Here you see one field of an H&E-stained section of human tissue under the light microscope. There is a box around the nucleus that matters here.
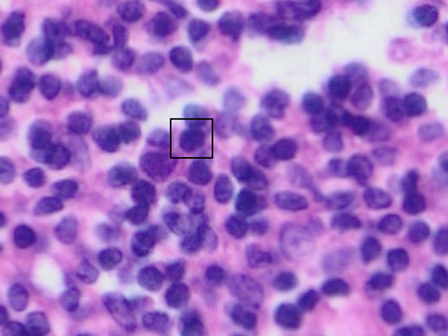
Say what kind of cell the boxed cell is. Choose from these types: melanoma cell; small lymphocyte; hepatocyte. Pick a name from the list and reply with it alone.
small lymphocyte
